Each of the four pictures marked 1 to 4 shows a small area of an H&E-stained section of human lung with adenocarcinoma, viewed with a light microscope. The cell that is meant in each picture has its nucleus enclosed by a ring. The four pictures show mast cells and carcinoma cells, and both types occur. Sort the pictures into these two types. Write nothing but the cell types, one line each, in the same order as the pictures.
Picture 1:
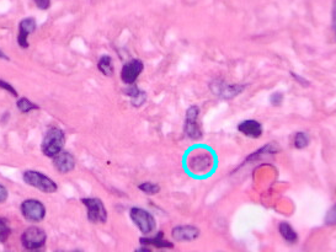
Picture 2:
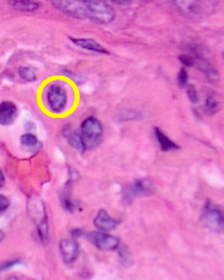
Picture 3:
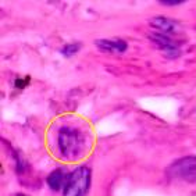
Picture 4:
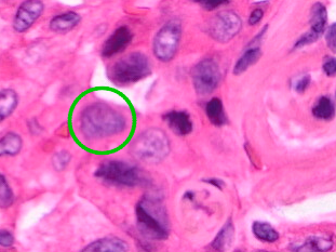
mast cell
mast cell
mast cell
carcinoma cell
